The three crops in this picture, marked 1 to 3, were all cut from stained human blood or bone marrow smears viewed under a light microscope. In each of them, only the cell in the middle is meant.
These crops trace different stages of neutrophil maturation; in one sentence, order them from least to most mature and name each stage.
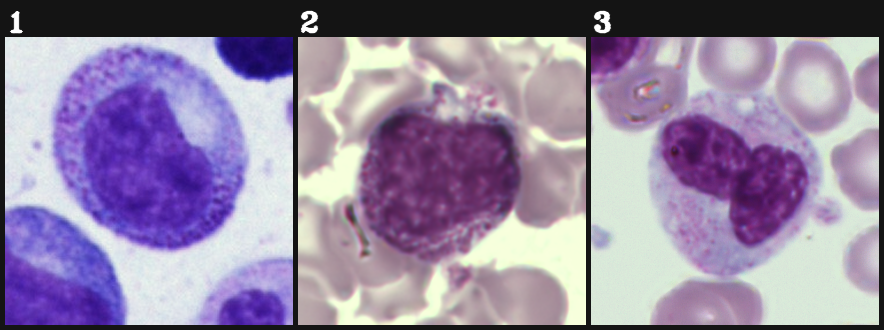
The crops, ordered from least to most mature, are crop 2 (a myelocyte), crop 1 (a metamyelocyte) and crop 3 (a band neutrophil).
